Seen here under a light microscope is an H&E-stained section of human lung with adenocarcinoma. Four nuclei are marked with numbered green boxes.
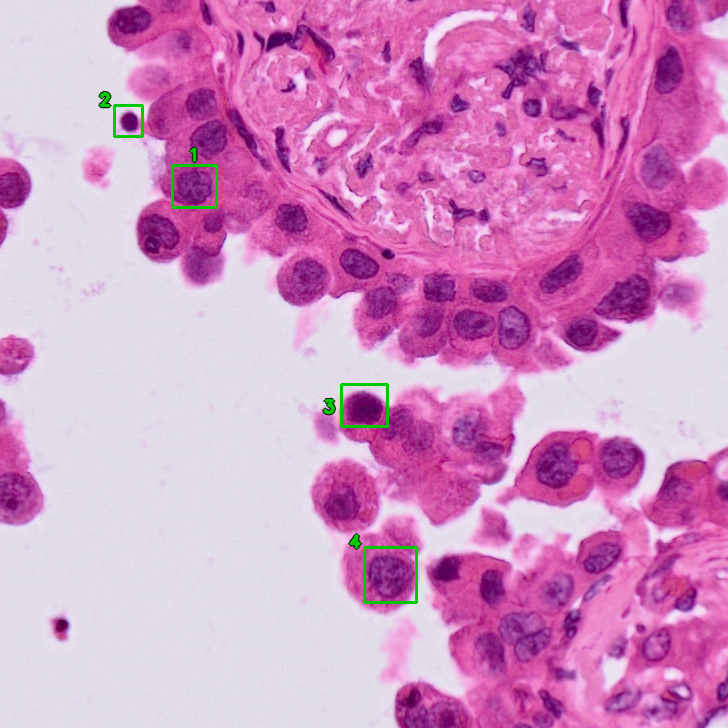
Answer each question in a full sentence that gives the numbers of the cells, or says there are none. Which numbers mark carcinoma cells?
Into the category of carcinoma cells fall the cells numbered 1, 3 and 4.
